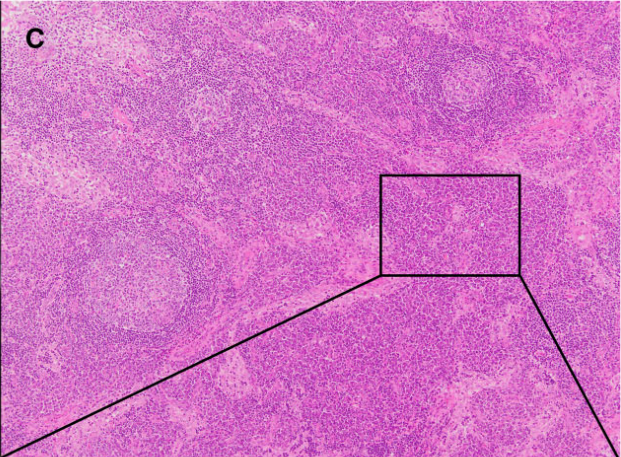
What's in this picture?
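This low-power view shows lymphatic tissue in which the follicles are still preserved. Several round follicles stand out, each with a paler centre ringed by a darker, denser rim of small lymphocytes. Between them lie broad areas of densely cellular interfollicular tissue that appear expanded, crossed by fine pink strands of connective tissue and vessels. The overall architecture of the node is kept, with the follicles spaced apart rather than effaced, while the tissue between them takes up much of the field.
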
